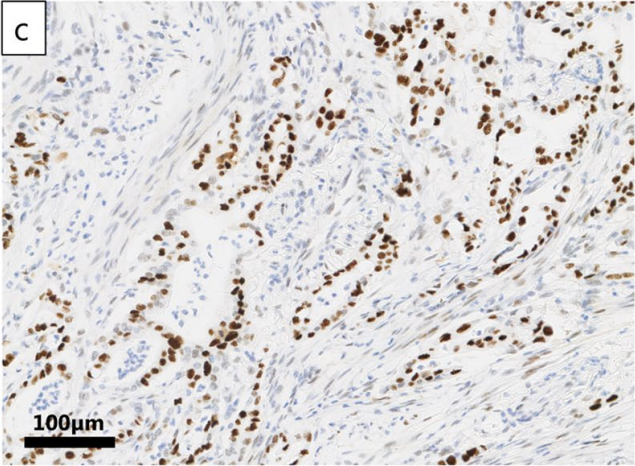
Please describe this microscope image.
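This section shows adenocarcinoma, with tumour cells arranged in small glands and tubules scattered through a fibrous stroma. Most tumour cell nuclei in the glands are stained dark brown, while the surrounding spindle-shaped stromal cells have pale blue nuclei. The glands are irregular in size and shape, some with open lumens, and lie infiltrating between the stromal fibres.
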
